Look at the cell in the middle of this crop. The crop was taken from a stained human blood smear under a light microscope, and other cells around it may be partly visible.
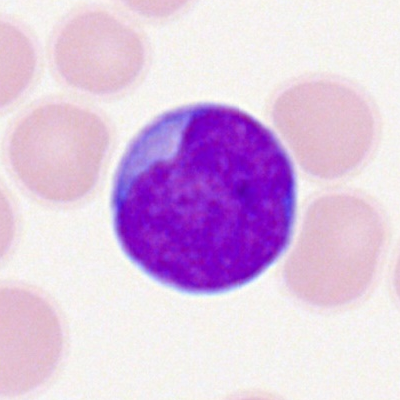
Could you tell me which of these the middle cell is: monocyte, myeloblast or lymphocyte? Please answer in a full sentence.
Classification of the middle cell gives a myeloblast.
